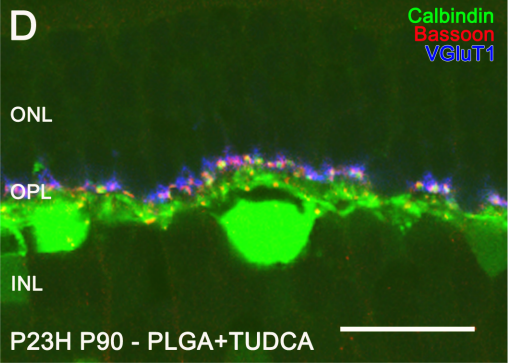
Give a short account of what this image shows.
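Outer retina with horizontal cells: large green somata at the top of the inner nuclear layer give rise to a green band of dendrites along the outer plexiform layer. A thin row of blue terminals with red and yellow puncta sits on this band beneath the outer nuclear layer.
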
